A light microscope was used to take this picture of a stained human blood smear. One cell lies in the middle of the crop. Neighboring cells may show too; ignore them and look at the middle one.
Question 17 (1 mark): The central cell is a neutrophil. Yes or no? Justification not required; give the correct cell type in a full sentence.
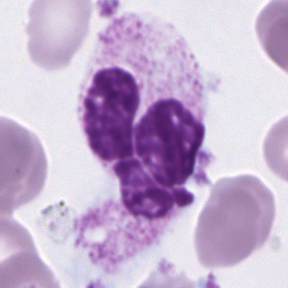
Yes, the cell centred in the field of view is a neutrophil.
